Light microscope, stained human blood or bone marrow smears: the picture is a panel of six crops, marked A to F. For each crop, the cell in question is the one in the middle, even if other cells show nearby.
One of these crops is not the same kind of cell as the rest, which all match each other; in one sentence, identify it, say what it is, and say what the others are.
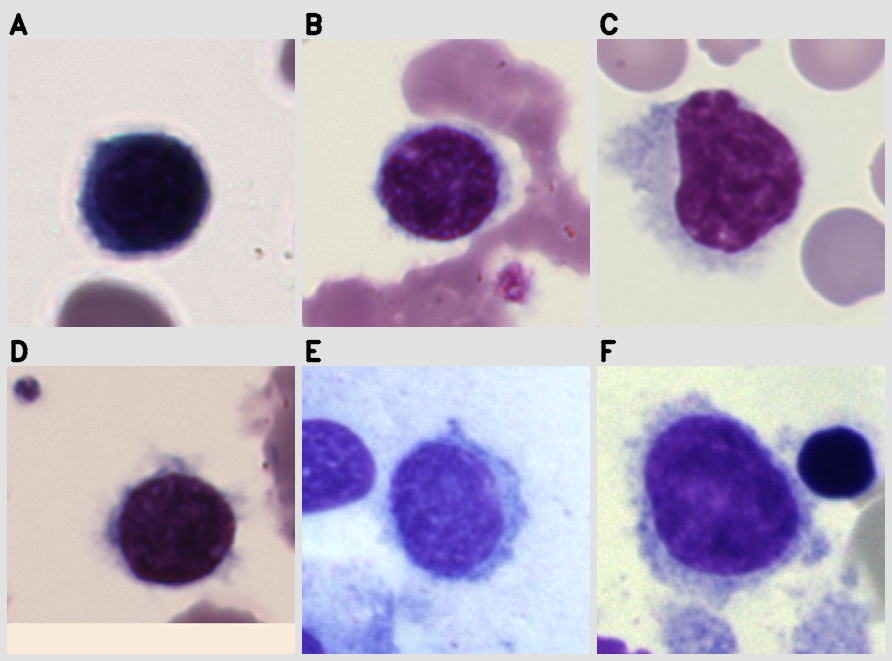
Excluding crop A, which is a plasma cell, the crops all show hairy cells.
